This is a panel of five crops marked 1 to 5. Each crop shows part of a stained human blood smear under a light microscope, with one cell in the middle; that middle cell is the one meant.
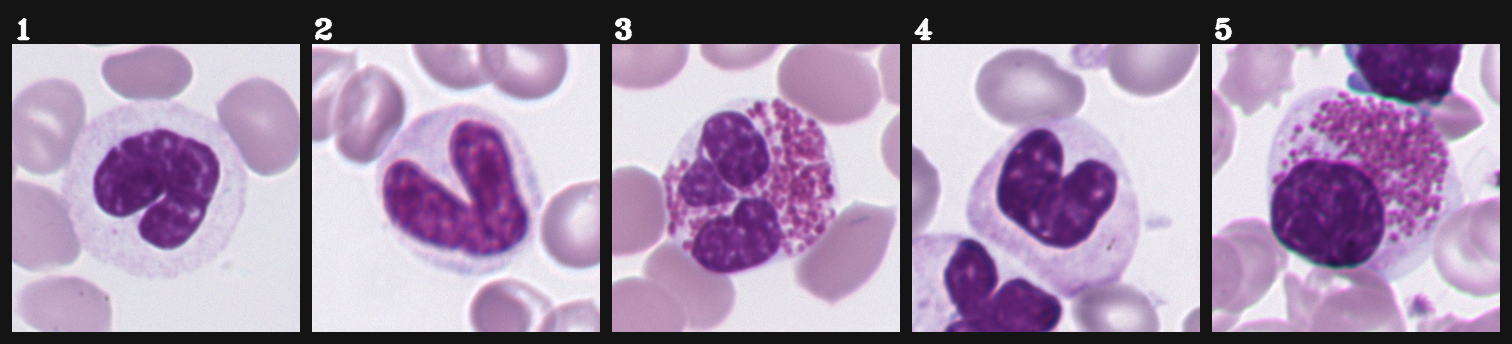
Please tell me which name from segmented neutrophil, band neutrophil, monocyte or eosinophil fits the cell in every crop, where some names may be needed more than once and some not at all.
1: band neutrophil
2: band neutrophil
3: eosinophil
4: band neutrophil
5: eosinophil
